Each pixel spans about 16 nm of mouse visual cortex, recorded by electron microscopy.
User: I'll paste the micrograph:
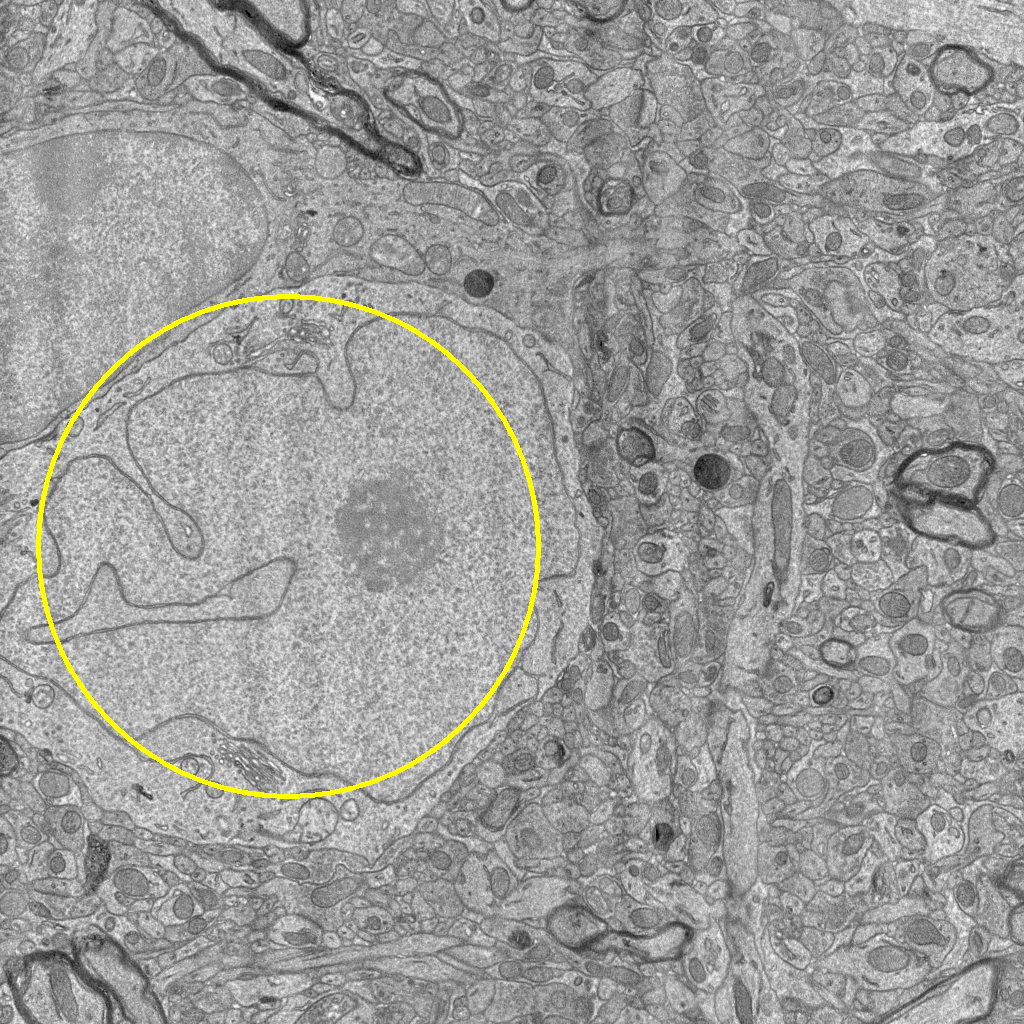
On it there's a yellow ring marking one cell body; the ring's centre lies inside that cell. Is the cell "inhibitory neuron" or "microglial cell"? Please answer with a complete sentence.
The cell at the centre of the yellow ring is an inhibitory neuron.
